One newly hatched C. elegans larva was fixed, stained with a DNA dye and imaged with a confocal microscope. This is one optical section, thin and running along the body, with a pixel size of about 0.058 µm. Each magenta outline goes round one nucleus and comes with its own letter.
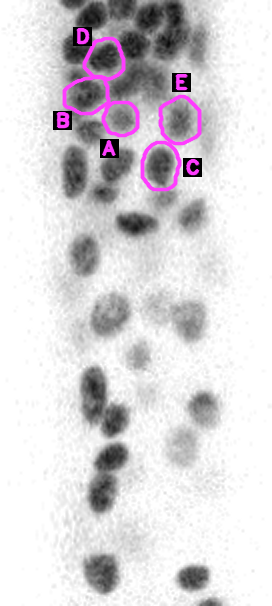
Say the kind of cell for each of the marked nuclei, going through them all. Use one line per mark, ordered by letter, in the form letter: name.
A: pharyngeal muscle cell
B: body wall muscle cell
C: pharyngeal marginal cell
D: neuron
E: neuron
